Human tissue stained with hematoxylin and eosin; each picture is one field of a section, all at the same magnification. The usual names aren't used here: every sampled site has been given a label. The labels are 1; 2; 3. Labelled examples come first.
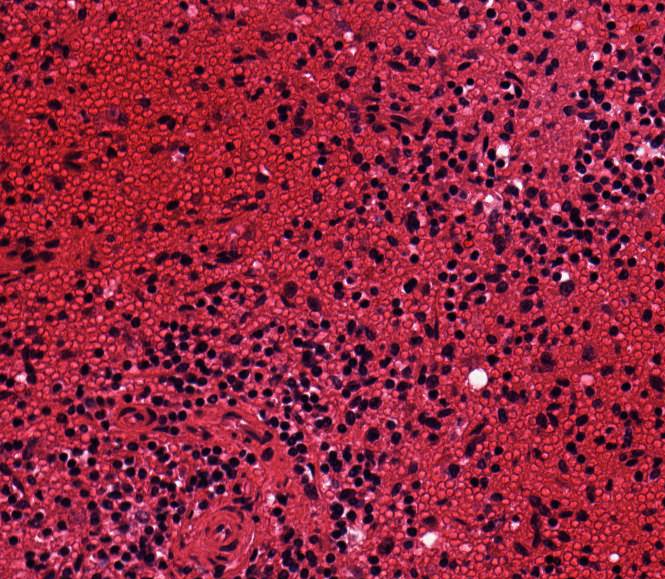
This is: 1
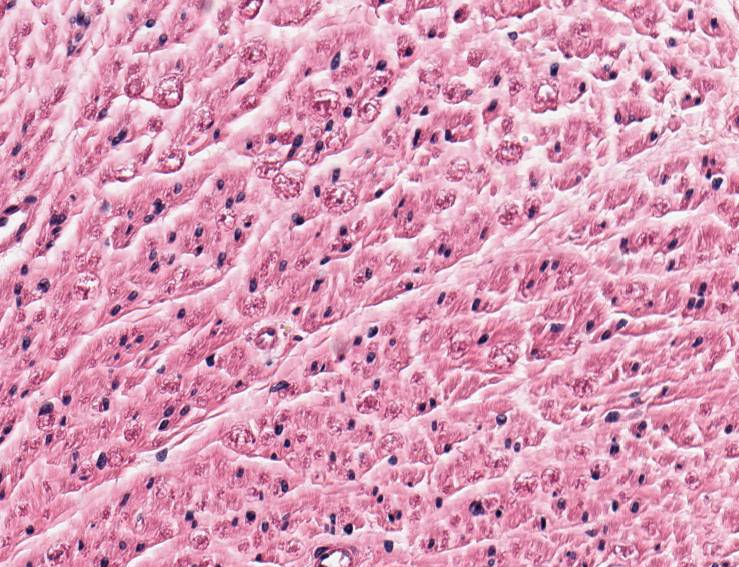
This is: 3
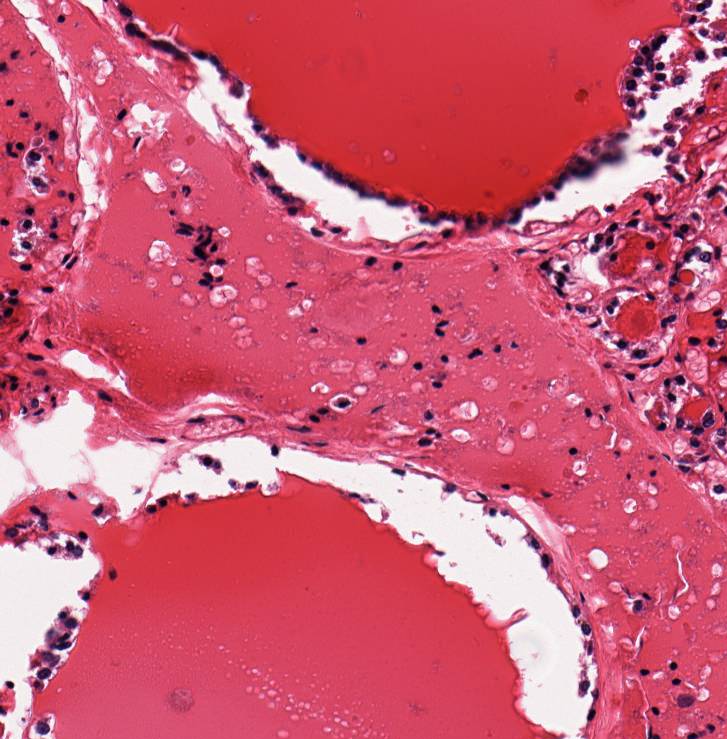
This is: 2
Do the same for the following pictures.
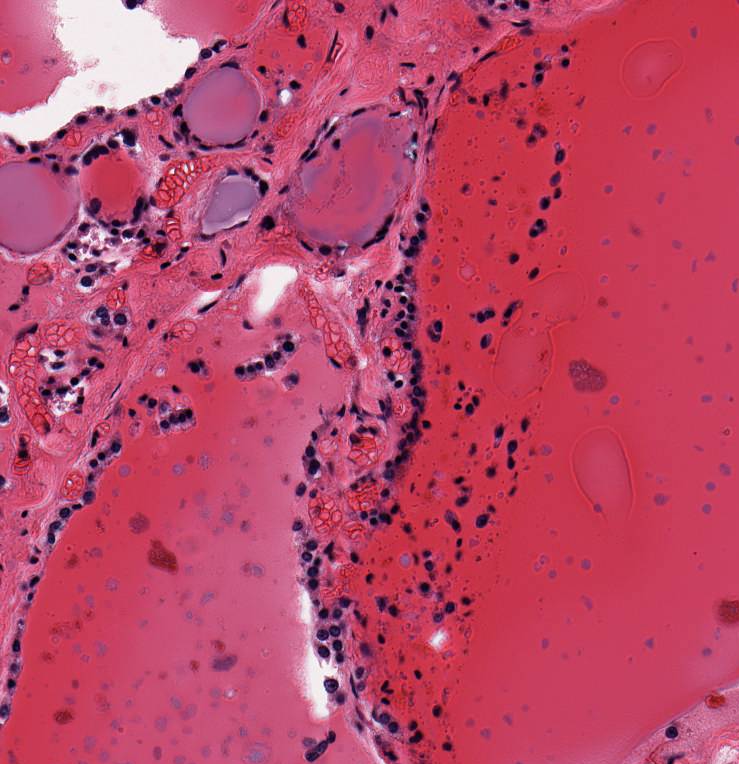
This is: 2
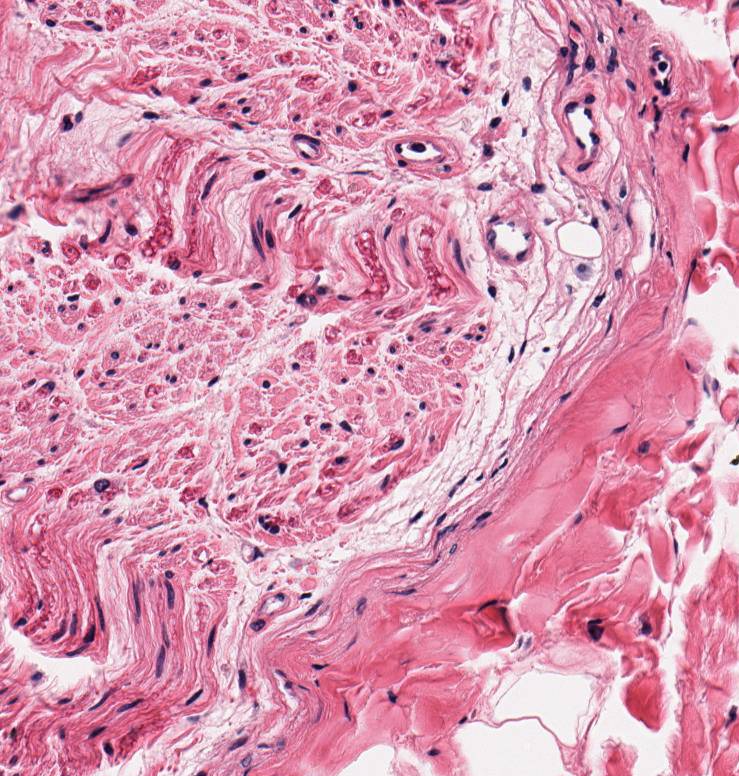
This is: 3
